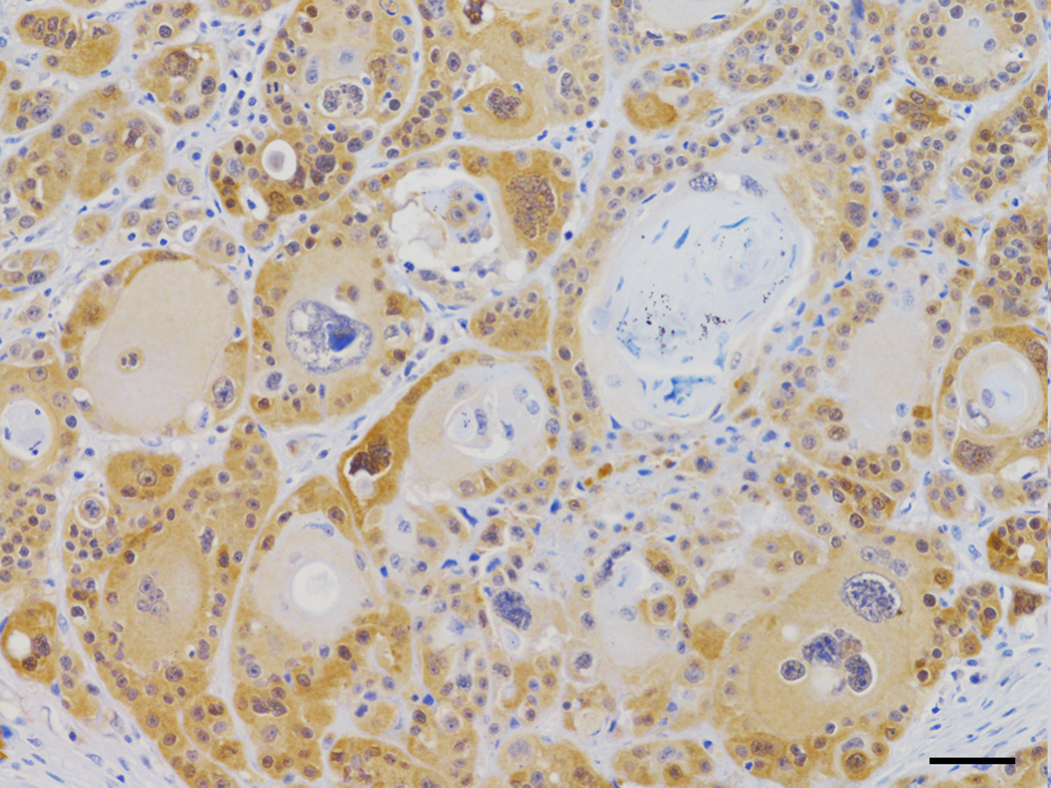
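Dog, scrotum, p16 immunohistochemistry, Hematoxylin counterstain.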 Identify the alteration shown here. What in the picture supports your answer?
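Neoplastic cells vary greatly in size, from small peripheral cells to very large central cells. Nuclei vary markedly in size, with some very large, dark, irregular nuclei.
Answer: anisocytosis and anisokaryosis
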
